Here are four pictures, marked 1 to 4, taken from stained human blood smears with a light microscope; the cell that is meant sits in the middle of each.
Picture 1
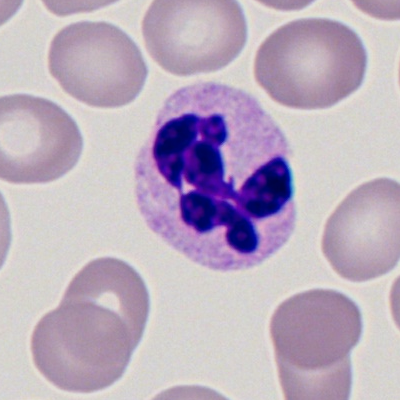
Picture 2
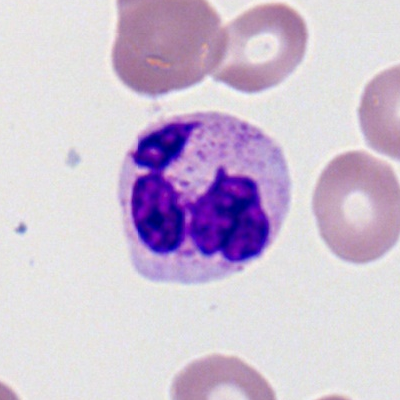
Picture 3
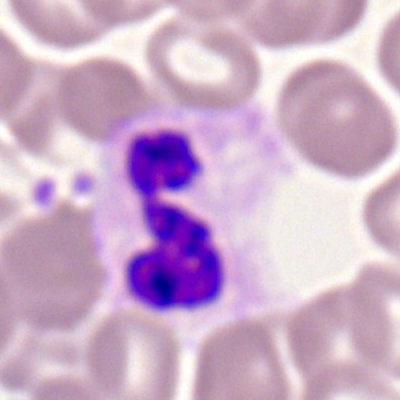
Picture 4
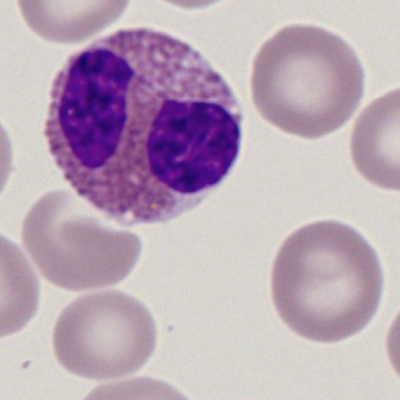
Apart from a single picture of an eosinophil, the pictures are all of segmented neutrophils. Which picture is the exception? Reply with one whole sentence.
The eosinophil is the one in picture 4.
